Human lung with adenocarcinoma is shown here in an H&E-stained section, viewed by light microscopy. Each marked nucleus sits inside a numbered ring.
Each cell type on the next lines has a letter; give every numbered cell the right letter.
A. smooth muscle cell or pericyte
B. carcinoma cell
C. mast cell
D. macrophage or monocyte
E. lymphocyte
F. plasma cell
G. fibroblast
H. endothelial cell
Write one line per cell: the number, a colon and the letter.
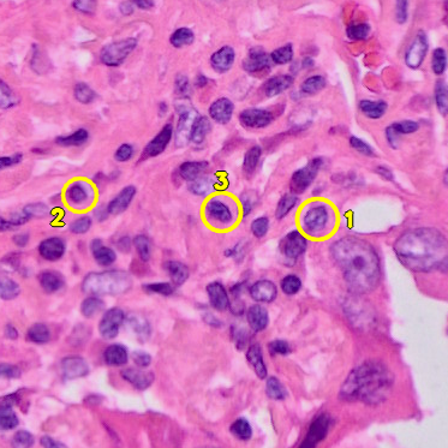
1: E
2: F
3: E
